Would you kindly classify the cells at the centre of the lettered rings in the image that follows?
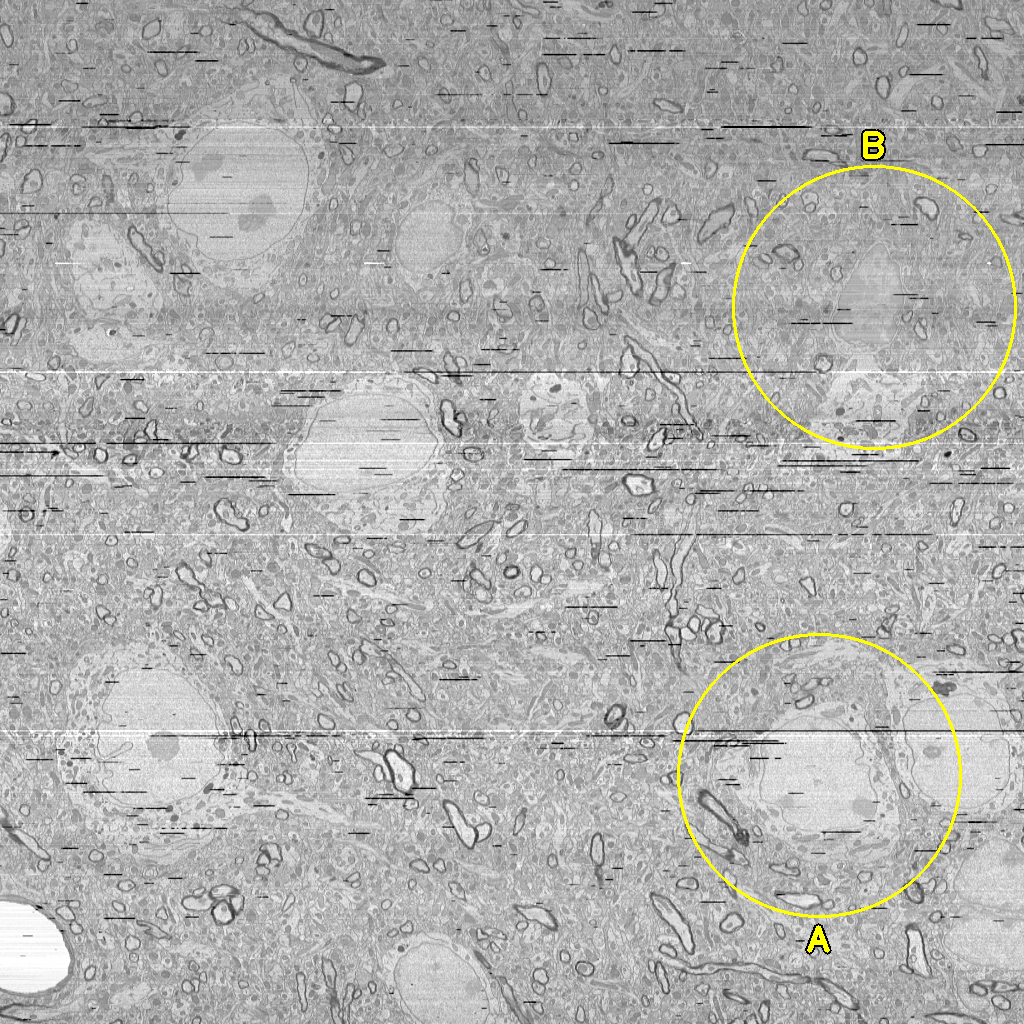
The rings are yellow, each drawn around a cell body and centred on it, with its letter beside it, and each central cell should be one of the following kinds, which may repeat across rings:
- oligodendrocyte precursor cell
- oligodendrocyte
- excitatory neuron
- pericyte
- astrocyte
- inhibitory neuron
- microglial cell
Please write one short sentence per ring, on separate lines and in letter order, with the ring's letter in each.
The kind of cell at the centre of ring A is an excitatory neuron.
The kind of cell at the centre of ring B is a microglial cell.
